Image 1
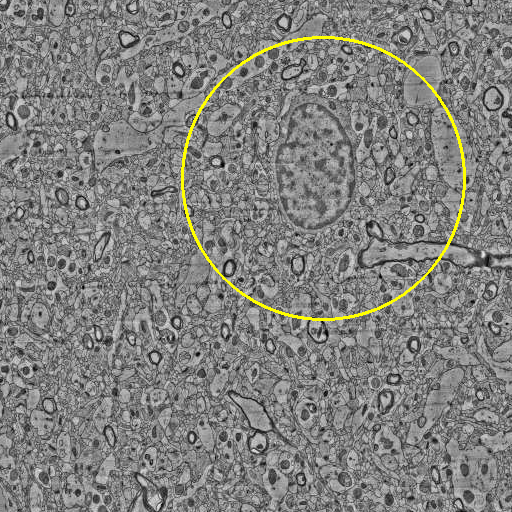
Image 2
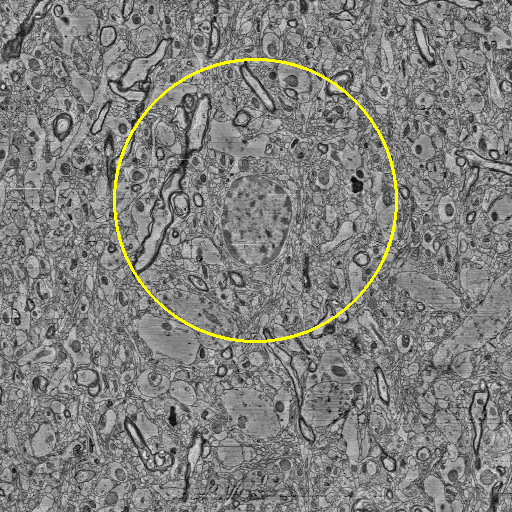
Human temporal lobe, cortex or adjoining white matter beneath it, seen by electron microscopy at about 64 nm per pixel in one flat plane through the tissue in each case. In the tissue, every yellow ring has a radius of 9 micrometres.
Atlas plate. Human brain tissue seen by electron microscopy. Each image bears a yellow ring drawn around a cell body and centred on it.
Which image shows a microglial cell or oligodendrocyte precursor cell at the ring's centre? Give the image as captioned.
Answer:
Image 2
